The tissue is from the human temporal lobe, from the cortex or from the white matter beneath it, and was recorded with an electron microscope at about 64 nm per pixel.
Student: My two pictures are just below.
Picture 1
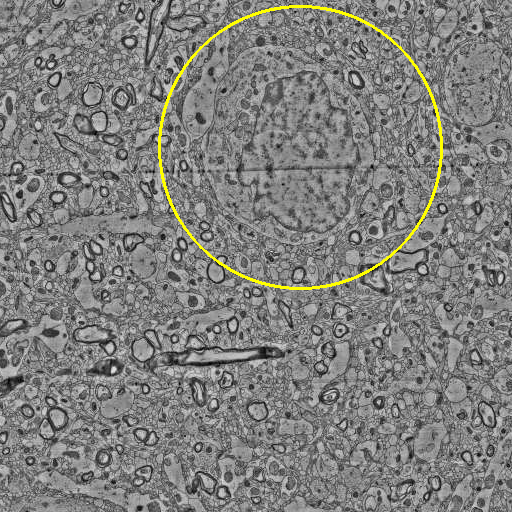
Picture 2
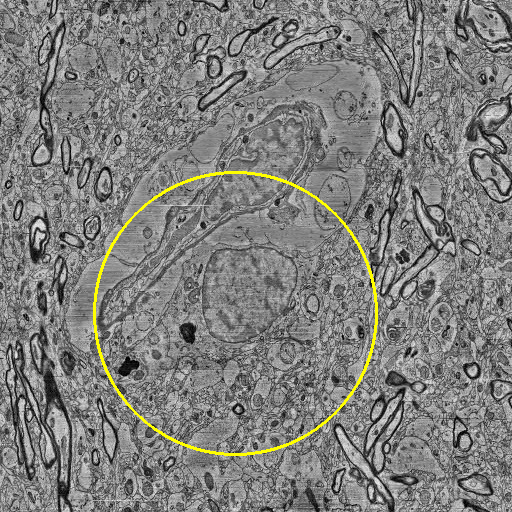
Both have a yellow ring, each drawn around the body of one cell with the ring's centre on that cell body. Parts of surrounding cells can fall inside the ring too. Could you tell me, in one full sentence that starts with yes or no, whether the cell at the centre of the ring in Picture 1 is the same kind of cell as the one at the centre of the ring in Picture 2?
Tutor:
No, the two cells are of two kinds.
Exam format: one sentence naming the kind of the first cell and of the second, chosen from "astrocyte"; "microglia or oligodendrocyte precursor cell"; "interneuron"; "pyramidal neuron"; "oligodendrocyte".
The first picture's cell is an interneuron, and the second picture's cell is an oligodendrocyte.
